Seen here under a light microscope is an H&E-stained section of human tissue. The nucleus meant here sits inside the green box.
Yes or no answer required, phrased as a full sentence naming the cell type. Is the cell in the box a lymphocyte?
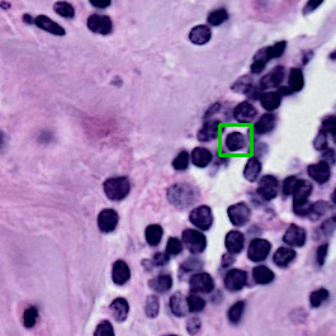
Yes, the cell in the box is correctly named as a lymphocyte.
